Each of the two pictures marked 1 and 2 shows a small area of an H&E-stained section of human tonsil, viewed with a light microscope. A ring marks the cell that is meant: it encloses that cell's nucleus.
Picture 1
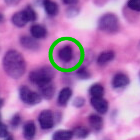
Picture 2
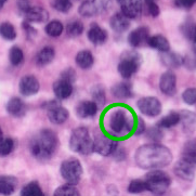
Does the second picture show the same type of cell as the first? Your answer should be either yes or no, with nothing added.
no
